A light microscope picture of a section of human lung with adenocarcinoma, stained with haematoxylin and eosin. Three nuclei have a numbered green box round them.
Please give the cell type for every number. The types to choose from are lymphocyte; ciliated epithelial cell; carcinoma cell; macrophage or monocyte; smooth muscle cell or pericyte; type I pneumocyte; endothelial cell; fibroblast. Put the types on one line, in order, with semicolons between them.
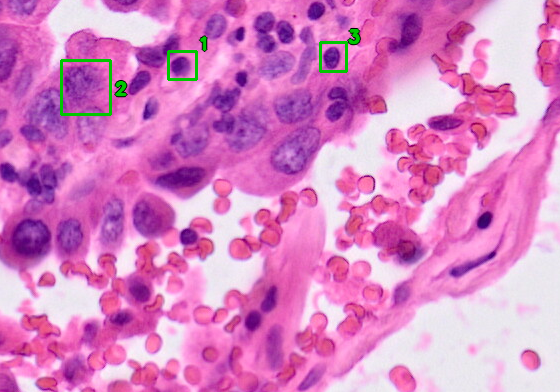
lymphocyte; carcinoma cell; lymphocyte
